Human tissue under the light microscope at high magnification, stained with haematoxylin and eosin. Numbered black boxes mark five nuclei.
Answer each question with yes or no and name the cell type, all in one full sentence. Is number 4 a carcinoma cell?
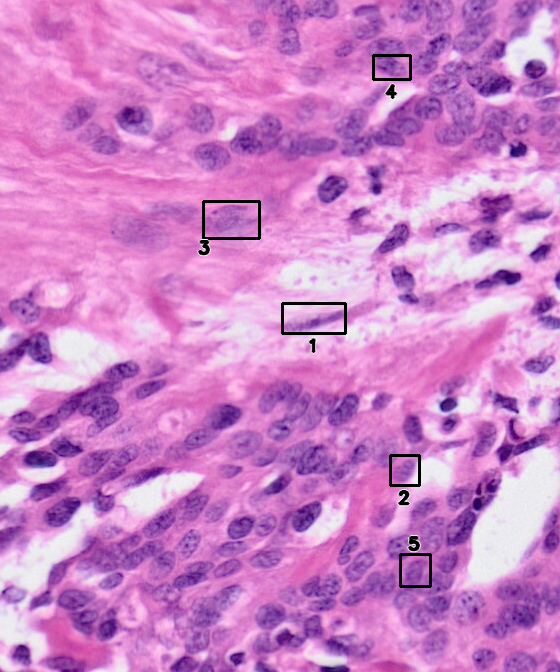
Yes, in the section, number 4 is a carcinoma cell.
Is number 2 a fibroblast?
No, it is not a fibroblast that bears number 2 but a carcinoma cell.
